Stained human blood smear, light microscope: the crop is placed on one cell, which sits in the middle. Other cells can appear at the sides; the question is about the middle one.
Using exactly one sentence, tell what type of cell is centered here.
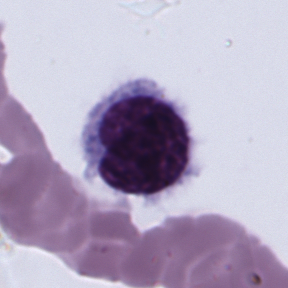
The cell in the exact centre of the crop is a hairy cell.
